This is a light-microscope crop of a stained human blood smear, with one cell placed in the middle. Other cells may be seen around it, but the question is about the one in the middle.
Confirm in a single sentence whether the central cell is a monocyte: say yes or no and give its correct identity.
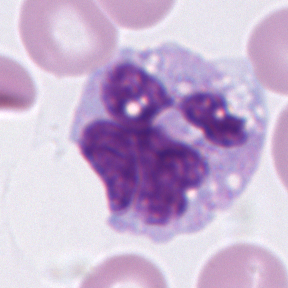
Yes, the cell occupying the center is a monocyte.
